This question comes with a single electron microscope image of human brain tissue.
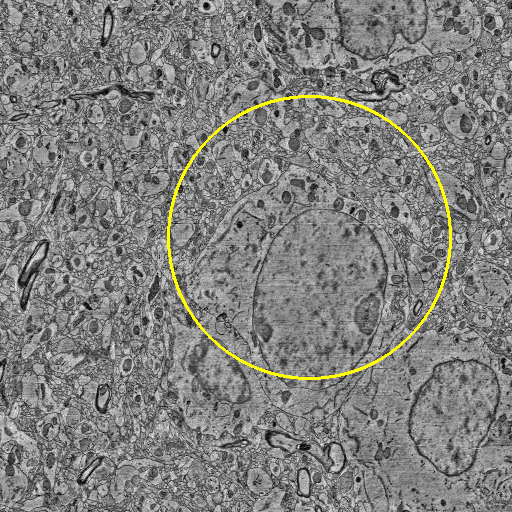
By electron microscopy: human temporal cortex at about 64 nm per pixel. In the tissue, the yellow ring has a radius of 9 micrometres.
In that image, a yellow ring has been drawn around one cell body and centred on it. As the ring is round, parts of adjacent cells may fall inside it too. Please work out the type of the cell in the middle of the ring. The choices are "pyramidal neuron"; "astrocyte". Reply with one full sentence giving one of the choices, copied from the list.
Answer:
Of the choices, a pyramidal neuron is the cell sitting in the middle of the ring.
